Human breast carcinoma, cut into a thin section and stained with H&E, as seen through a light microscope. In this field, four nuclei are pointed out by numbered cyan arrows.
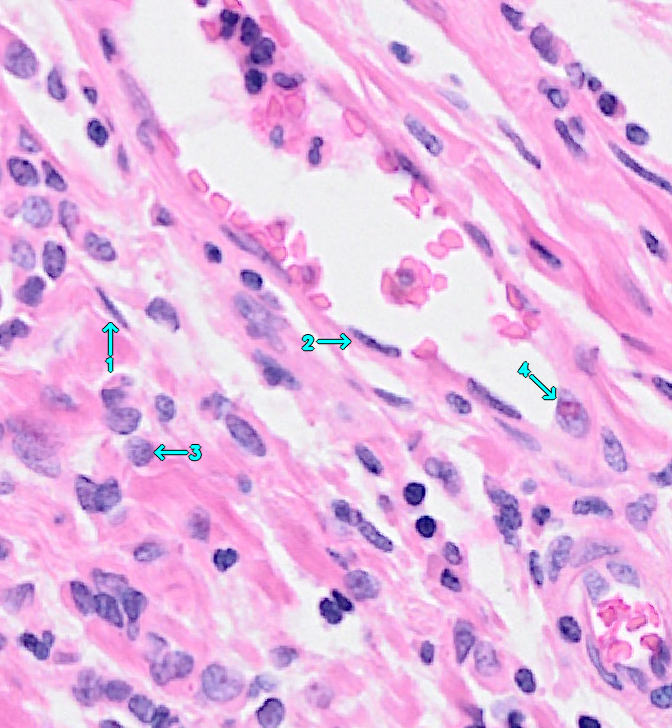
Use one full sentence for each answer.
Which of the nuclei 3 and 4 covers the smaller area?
The smaller nucleus is 3, and 4 covers roughly 2 times its area.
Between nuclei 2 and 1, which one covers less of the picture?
It is nucleus 1; nucleus 2 has about 2 times its area.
